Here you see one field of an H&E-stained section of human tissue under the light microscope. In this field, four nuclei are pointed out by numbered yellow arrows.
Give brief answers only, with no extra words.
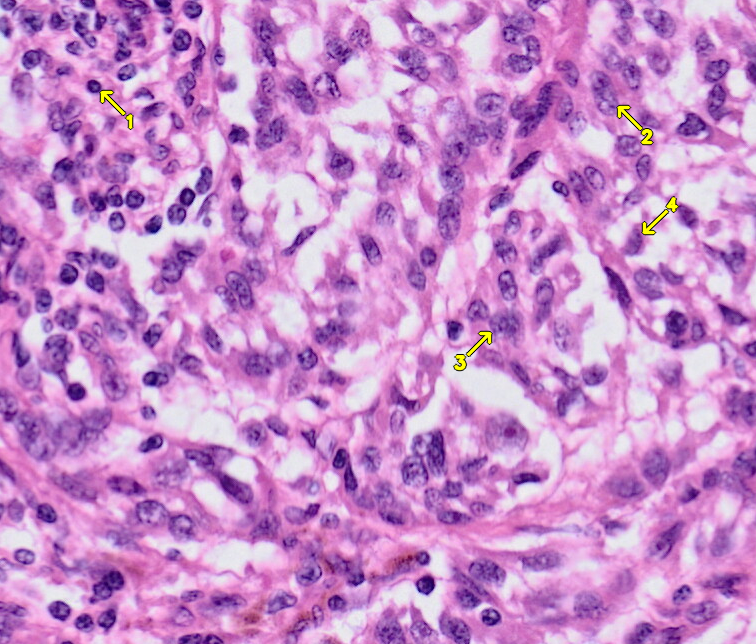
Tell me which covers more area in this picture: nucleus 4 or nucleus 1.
4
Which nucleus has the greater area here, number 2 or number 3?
2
